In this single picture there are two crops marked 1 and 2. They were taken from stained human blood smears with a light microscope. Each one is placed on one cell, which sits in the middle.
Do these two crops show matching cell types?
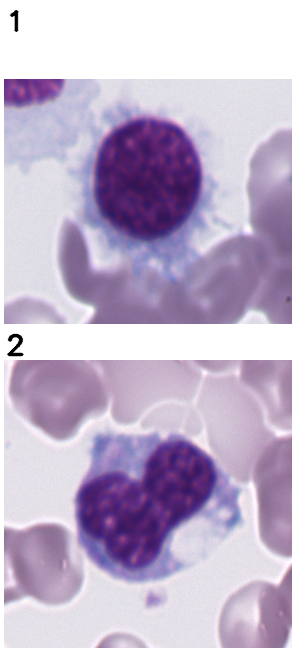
no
